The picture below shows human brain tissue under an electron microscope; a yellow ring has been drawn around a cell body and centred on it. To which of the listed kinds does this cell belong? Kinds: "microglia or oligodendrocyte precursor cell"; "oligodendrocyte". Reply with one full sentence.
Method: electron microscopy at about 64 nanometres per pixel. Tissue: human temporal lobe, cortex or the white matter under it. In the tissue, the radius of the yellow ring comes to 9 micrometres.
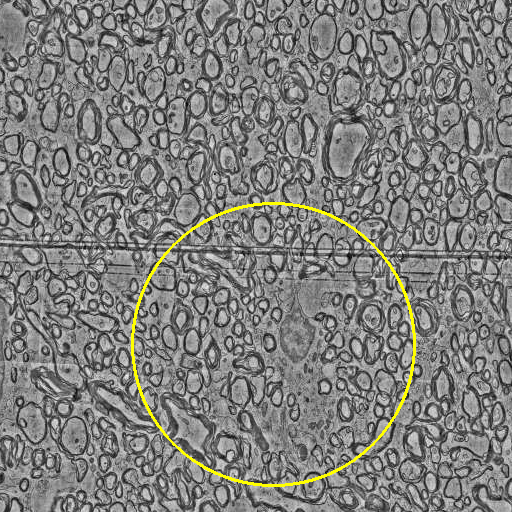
It is an oligodendrocyte that the yellow ring in the picture is centred on.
